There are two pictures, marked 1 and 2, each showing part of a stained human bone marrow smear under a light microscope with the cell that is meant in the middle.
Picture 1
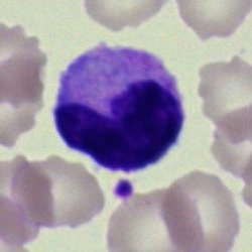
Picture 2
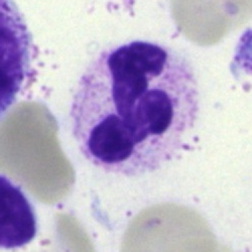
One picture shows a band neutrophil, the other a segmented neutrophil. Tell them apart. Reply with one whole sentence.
In picture 1 the cell is a band neutrophil; in picture 2, a segmented neutrophil.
